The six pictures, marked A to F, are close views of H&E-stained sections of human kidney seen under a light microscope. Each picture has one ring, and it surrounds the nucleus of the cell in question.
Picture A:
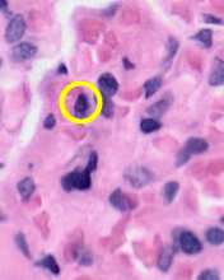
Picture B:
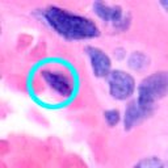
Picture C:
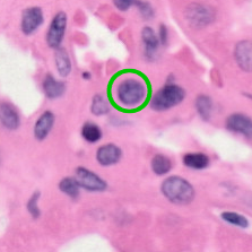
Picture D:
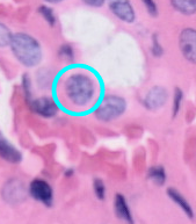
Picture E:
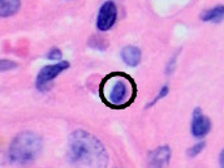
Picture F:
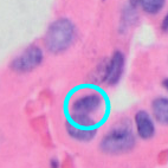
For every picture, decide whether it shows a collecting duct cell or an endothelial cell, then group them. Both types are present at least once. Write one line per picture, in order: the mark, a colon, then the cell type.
A: endothelial cell
B: endothelial cell
C: collecting duct cell
D: collecting duct cell
E: endothelial cell
F: collecting duct cell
